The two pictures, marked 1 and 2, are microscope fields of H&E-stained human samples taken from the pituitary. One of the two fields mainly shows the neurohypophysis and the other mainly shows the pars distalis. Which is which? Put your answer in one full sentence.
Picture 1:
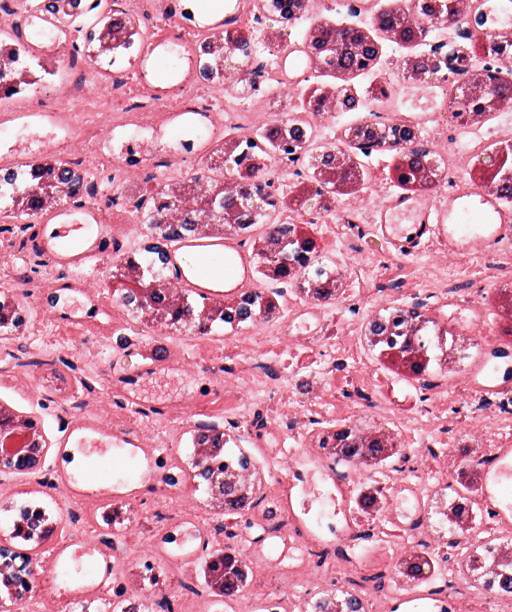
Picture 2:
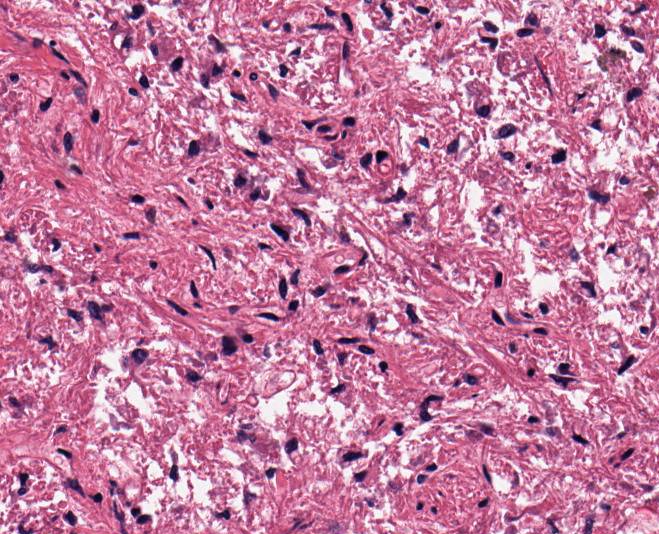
Picture 1 mainly shows the pars distalis and picture 2 mainly shows the neurohypophysis.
